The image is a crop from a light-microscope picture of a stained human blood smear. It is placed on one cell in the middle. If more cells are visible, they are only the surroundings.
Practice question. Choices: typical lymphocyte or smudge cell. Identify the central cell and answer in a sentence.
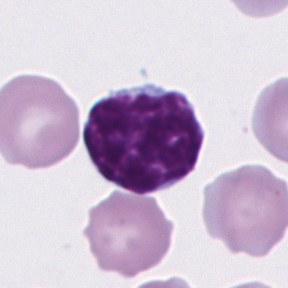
Within this crop, a typical lymphocyte occupies the central position.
